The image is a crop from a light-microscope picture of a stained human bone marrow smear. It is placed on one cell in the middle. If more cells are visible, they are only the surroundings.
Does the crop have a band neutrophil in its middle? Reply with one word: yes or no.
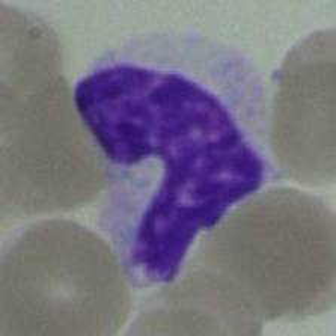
yes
